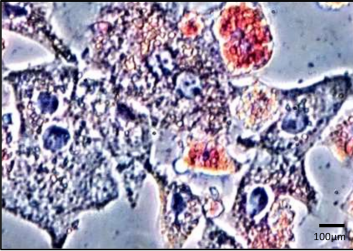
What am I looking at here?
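The cells are large and polygonal, with a broad, granular grey-blue cytoplasm that spreads out flat against the dish. Scattered through the cytoplasm are many small red-orange droplets of lipid, and in a few cells they cluster into dense red patches. Round to oval blue-purple nuclei sit within the cells, surrounded by cytoplasm rather than pressed to one side by a large fat vacuole. Between the cells, clear pale spaces of the dish can be seen.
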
